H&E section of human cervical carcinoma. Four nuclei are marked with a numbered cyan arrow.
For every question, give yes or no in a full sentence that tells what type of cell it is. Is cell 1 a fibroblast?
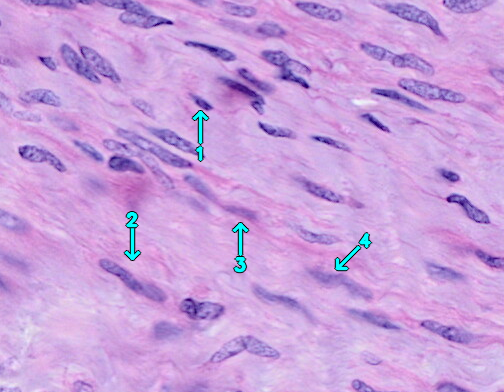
Yes, what number 1 marks is a fibroblast.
